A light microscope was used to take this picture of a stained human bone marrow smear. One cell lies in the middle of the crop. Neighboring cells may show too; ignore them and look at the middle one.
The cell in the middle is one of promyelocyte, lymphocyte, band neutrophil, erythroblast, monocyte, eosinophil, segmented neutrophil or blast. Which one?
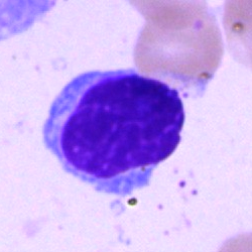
lymphocyte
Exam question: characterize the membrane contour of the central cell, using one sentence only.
The cell membrane follows an uneven contour, either ragged or bearing projections.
